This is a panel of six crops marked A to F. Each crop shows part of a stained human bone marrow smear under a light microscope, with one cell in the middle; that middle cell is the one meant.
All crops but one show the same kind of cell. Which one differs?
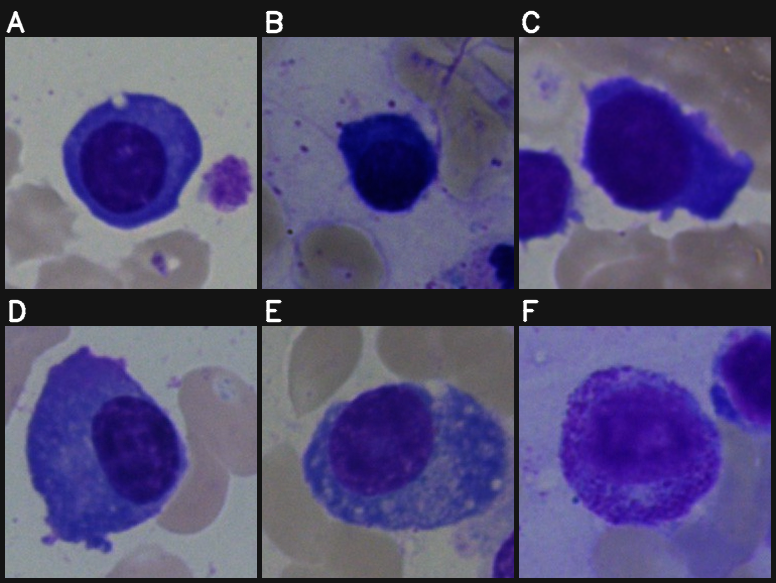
F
